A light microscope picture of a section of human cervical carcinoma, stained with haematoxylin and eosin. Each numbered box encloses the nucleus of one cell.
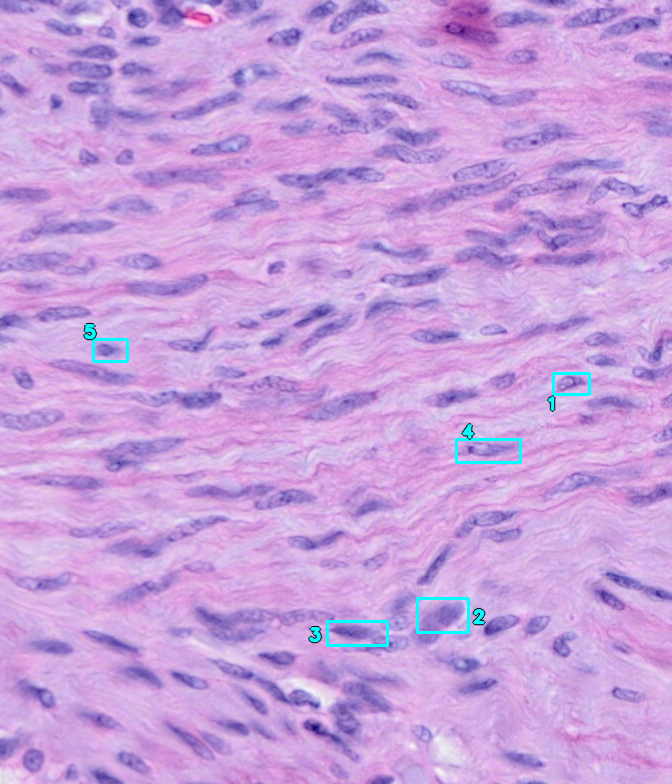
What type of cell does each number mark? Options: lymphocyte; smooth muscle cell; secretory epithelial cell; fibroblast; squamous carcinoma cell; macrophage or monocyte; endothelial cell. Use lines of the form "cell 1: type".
cell 1: smooth muscle cell
cell 2: fibroblast
cell 3: fibroblast
cell 4: smooth muscle cell
cell 5: fibroblast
